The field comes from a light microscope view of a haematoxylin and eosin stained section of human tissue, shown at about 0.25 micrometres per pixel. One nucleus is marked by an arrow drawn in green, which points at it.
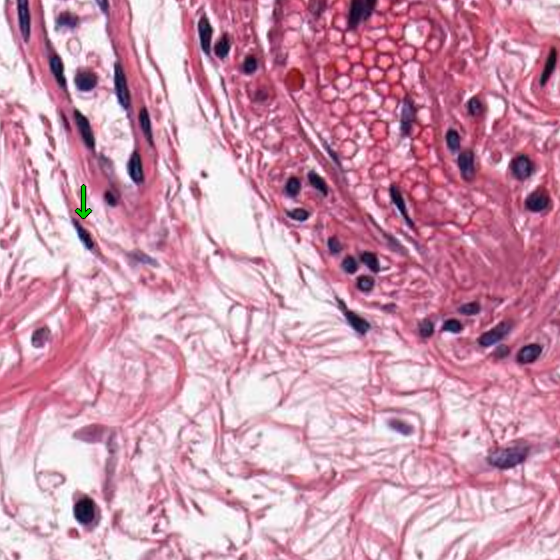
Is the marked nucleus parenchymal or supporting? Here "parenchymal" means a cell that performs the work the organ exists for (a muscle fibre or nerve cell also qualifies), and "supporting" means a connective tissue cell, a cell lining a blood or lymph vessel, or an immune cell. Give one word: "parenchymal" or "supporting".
supporting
